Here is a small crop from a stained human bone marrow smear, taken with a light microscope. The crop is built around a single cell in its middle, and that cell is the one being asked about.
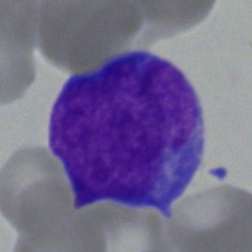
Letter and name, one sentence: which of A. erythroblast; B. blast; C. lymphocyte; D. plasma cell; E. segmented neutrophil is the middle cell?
This one is option B, since the cell at the center is a blast.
